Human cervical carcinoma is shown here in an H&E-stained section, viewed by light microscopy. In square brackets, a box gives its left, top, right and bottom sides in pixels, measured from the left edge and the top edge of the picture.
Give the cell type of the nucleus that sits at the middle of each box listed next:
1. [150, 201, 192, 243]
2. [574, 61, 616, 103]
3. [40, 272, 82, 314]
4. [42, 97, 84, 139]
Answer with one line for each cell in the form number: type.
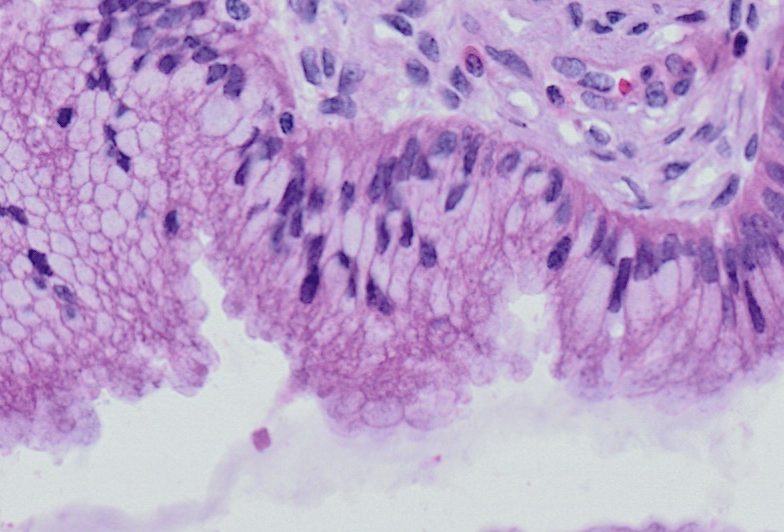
1: secretory epithelial cell
2: endothelial cell
3: secretory epithelial cell
4: secretory epithelial cell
